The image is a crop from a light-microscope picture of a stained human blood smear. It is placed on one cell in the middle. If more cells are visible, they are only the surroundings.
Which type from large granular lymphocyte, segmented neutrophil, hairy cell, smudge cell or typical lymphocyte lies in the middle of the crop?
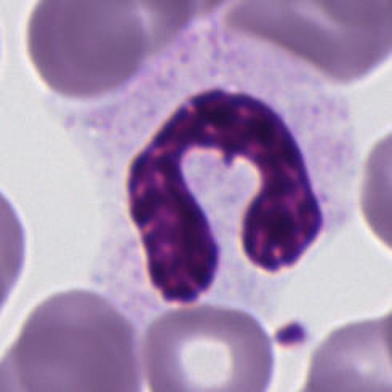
segmented neutrophil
